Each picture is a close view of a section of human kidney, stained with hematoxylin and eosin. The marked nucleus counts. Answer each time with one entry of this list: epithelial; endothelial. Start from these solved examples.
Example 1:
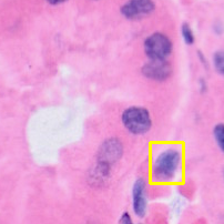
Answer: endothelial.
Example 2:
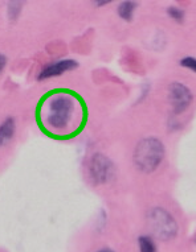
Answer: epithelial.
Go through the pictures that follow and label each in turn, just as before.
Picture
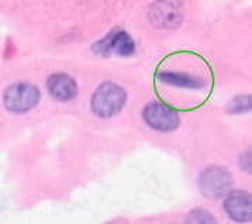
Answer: endothelial.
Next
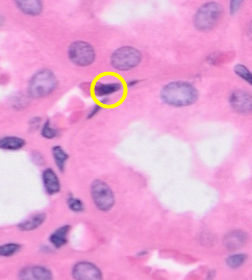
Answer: endothelial.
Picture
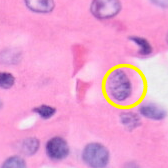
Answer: epithelial.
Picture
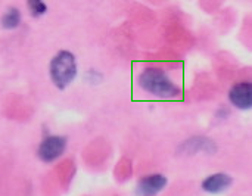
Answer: endothelial.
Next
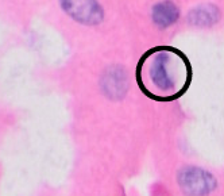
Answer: epithelial.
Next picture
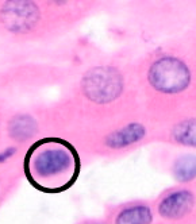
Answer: epithelial.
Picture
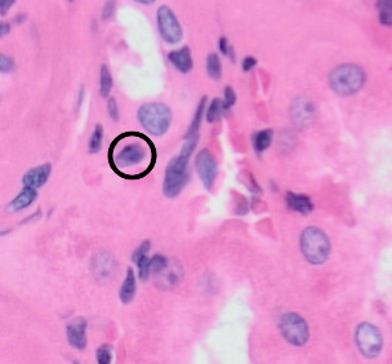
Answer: endothelial.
